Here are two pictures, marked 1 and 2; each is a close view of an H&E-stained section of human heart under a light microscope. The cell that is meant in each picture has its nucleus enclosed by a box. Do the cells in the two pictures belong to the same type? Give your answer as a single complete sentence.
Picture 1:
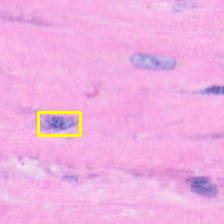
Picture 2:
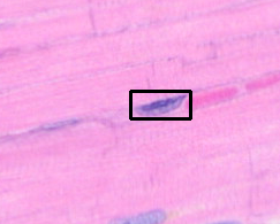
Yes, both cells are endothelial cells.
